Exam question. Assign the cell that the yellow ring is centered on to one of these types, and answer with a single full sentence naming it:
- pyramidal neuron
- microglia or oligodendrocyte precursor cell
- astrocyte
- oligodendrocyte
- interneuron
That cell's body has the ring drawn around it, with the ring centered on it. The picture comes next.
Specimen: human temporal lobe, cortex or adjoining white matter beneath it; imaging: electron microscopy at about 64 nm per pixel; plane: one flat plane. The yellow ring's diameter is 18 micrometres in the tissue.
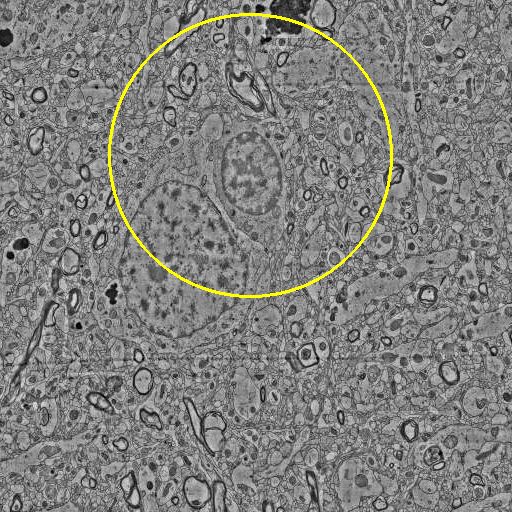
In the micrograph, the cell the yellow ring is centered on is an oligodendrocyte.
